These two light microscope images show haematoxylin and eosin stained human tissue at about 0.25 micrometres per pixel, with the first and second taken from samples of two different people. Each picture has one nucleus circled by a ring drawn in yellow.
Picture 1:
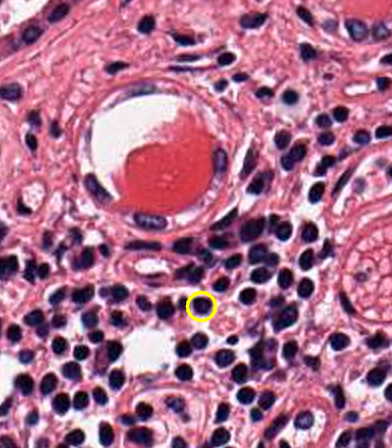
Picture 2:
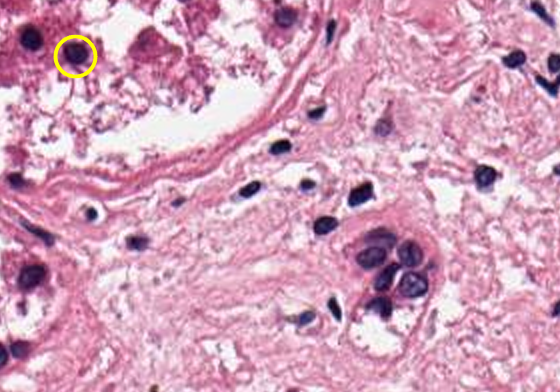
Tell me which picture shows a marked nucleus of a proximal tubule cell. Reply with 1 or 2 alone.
2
